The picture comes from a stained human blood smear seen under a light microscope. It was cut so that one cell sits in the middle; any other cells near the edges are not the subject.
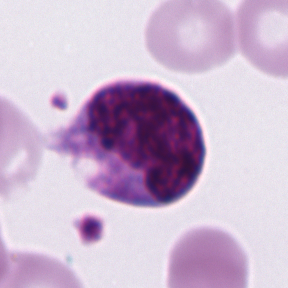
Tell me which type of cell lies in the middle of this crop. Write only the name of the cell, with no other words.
monocyte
